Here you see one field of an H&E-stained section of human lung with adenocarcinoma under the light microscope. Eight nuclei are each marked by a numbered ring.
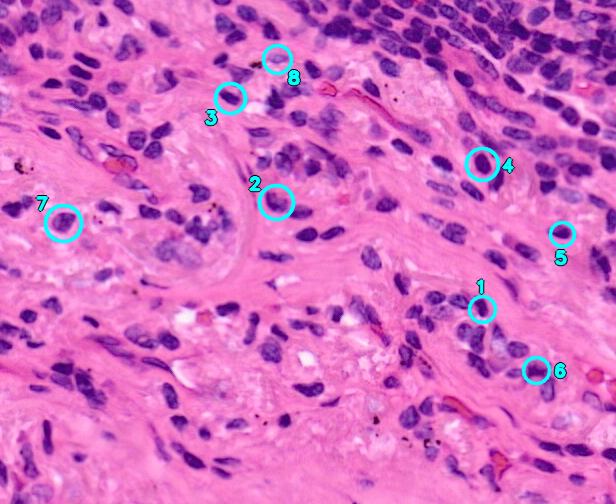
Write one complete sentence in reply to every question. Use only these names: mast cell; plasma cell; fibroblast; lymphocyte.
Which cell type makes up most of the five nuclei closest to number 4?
Of the five nuclei nearest to number 4, most belong to lymphocytes.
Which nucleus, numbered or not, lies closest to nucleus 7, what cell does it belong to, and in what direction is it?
Lying below and to the right of nucleus 7, the nearest nucleus is that of a mast cell.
